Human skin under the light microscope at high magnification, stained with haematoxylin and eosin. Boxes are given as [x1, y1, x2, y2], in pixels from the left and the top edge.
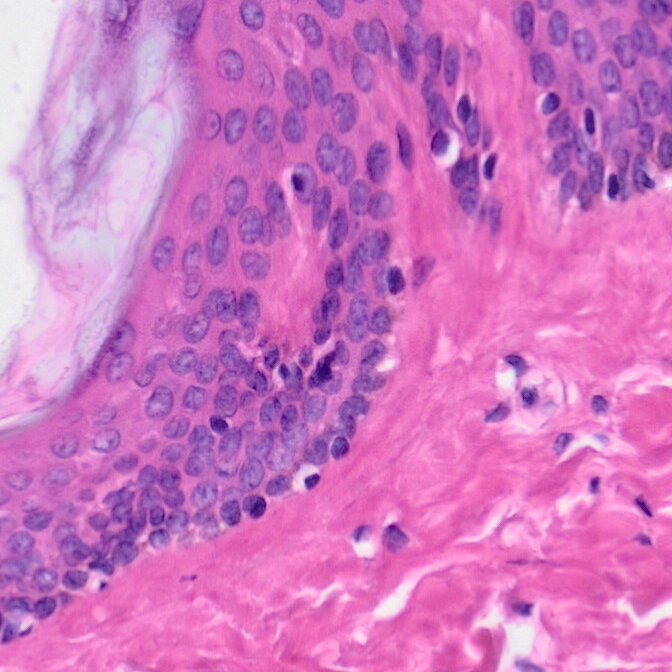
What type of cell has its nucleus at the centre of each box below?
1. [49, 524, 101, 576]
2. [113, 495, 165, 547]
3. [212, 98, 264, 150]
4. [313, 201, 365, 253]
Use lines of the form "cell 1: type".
cell 1: basal keratinocyte
cell 2: basal keratinocyte
cell 3: suprabasal keratinocyte
cell 4: basal keratinocyte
